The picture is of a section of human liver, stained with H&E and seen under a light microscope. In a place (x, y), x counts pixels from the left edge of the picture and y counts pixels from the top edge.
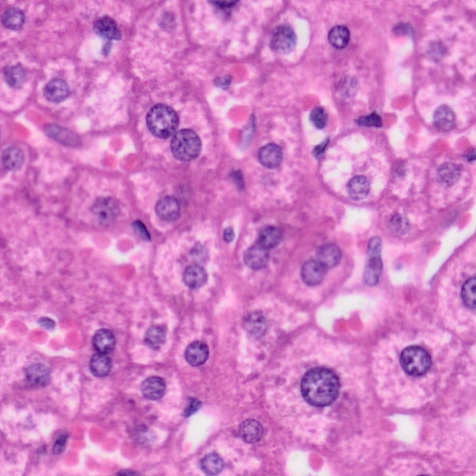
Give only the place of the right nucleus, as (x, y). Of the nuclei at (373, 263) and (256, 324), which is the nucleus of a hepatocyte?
(256, 324)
